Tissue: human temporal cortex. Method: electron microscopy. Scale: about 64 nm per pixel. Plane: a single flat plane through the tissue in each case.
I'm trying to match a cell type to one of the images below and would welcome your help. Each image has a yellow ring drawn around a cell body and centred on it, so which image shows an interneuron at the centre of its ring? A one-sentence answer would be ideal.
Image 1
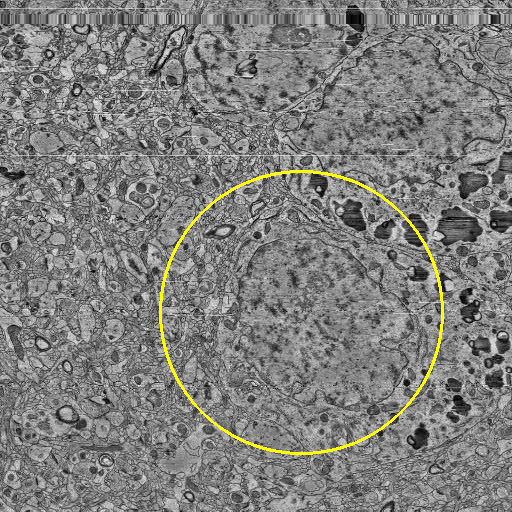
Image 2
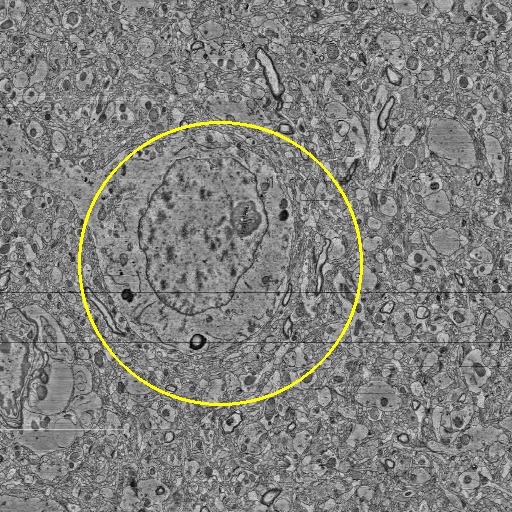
Image 1 shows it at the centre of the ring.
